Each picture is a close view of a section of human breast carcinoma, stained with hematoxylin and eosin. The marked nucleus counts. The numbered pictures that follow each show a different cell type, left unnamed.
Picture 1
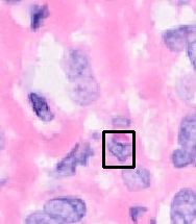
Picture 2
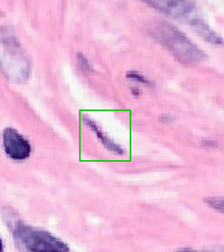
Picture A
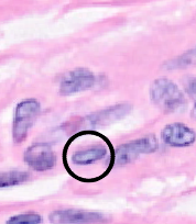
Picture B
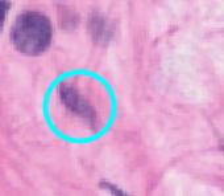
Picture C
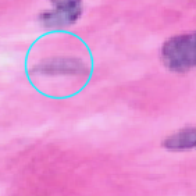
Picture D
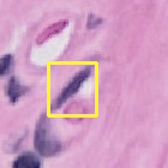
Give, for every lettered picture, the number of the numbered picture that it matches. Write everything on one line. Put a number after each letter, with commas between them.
A 1, B 2, C 2, D 1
